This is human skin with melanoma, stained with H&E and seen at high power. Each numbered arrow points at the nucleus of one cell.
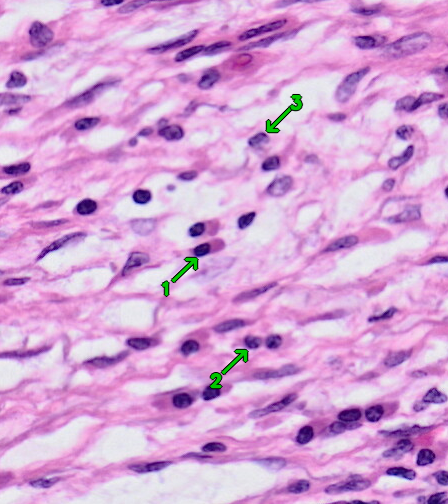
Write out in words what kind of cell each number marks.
Cells 1 and 2 are plasma cells. Cell 3 is a lymphocyte.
